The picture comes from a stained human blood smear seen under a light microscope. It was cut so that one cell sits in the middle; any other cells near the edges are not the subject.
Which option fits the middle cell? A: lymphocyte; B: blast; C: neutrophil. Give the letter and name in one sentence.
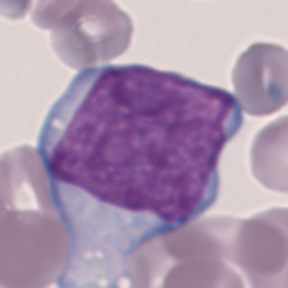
Identified correctly by option B, the cell in the middle is a blast.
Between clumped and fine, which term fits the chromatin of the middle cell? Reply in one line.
Answer: the chromatin is fine and has no coarse clumps.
